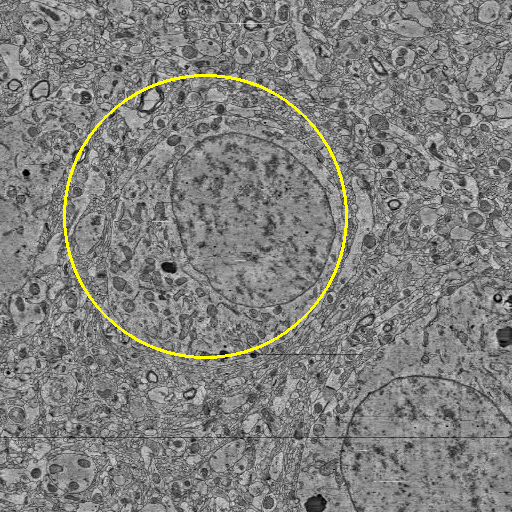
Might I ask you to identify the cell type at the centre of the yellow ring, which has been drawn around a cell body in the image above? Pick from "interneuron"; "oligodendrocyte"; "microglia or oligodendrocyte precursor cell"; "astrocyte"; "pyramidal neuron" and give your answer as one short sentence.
The centre of the ring falls on an interneuron.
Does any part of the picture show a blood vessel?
No, the picture includes no blood vessel.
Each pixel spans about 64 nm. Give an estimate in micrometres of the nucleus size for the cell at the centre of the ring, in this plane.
In this plane, the nucleus of the cell at the centre of the ring measures about 12 by 10 micrometres.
